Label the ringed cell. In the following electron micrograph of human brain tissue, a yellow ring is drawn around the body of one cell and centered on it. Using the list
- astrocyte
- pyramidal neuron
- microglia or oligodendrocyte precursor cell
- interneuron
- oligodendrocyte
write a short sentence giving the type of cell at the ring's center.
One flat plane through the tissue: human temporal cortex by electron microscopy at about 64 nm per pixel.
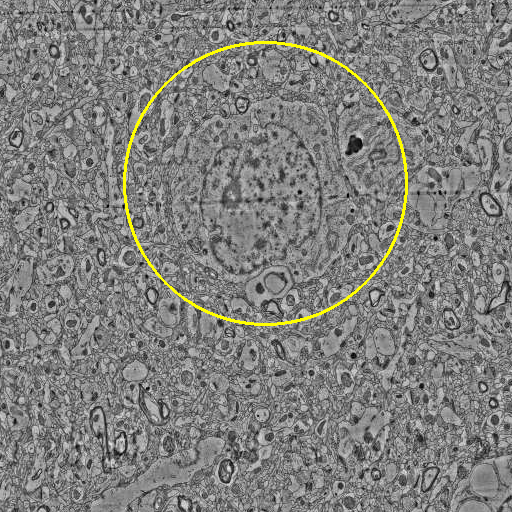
The cell body at the ring's center is that of an interneuron.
